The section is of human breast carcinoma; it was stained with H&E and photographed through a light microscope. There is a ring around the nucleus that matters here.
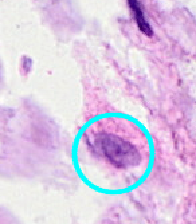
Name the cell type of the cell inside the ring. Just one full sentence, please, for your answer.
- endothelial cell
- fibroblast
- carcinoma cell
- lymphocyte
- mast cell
In cellular terms, the cell inside the ring is a fibroblast.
